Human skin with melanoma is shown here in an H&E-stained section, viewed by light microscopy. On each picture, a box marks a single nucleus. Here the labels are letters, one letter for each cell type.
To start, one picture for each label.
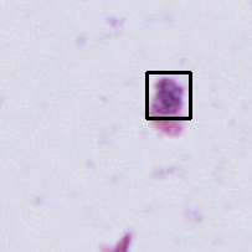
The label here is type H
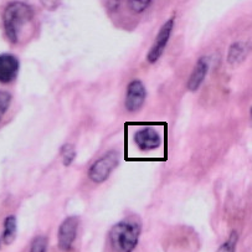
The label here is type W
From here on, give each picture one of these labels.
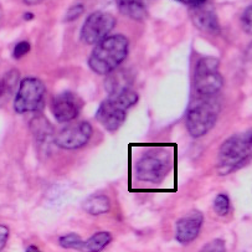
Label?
type H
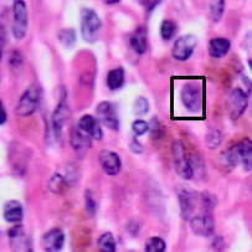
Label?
type W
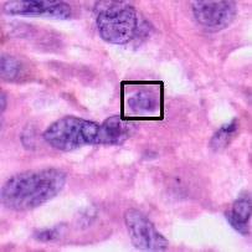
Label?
type H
